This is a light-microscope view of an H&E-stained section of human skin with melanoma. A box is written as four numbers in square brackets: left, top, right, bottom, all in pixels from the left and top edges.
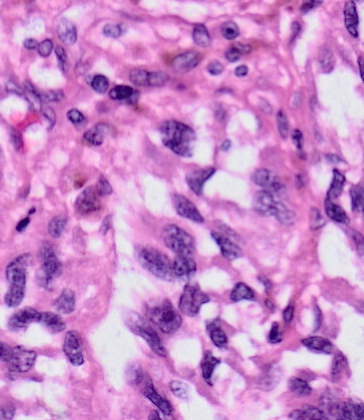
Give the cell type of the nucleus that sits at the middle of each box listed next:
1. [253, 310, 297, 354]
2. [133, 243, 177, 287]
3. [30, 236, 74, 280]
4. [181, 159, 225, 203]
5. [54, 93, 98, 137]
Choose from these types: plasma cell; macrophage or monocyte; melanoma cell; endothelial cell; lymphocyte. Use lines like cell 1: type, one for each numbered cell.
cell 1: lymphocyte
cell 2: melanoma cell
cell 3: melanoma cell
cell 4: melanoma cell
cell 5: lymphocyte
